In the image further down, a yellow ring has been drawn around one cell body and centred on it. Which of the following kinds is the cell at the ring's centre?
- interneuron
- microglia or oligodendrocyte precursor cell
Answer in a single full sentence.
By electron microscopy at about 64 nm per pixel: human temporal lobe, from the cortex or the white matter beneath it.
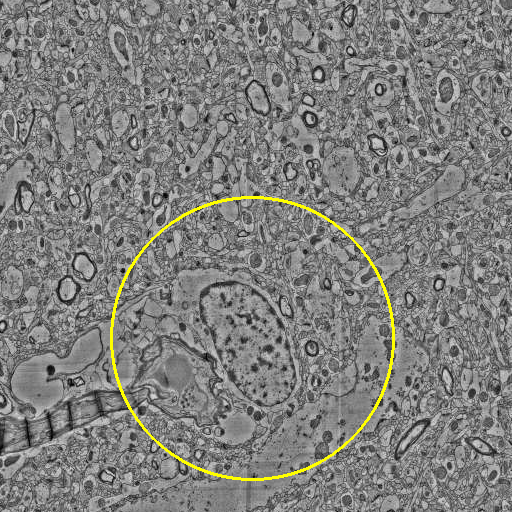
In the picture, the cell sitting at the centre of the yellow ring is a microglial cell or oligodendrocyte precursor cell.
